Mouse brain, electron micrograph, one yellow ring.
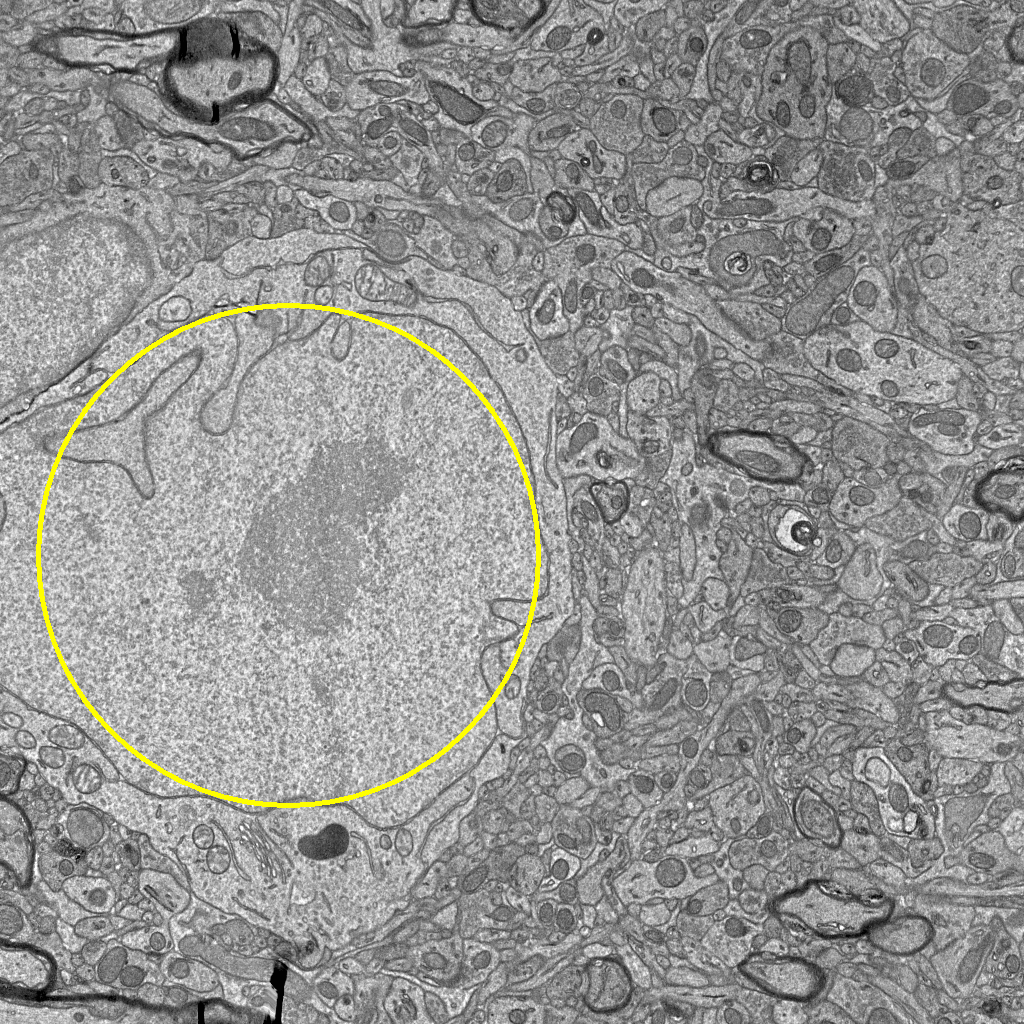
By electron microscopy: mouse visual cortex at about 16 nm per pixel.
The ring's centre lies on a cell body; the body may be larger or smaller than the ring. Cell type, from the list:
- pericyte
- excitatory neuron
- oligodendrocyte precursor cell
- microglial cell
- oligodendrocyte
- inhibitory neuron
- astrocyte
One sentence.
The yellow ring's centre lies on an inhibitory neuron.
